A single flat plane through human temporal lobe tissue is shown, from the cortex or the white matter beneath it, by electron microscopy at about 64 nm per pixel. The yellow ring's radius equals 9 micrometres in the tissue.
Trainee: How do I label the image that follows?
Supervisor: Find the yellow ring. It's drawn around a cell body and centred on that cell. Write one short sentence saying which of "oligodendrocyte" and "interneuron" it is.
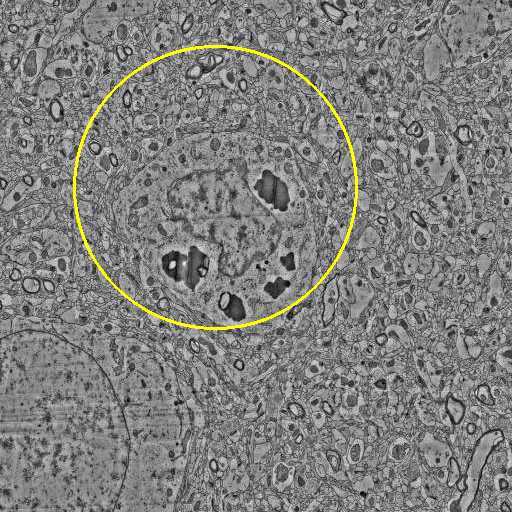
This is the cell body of an interneuron.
